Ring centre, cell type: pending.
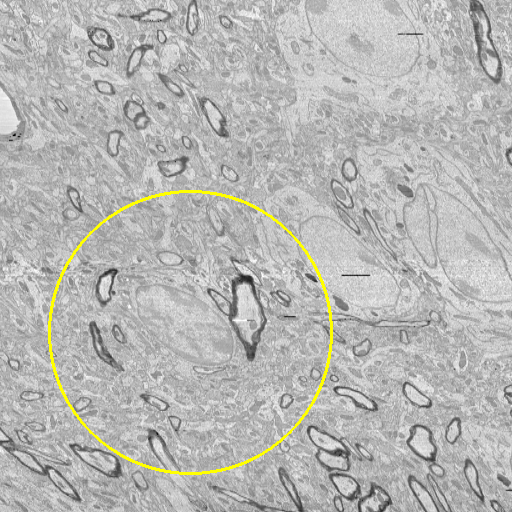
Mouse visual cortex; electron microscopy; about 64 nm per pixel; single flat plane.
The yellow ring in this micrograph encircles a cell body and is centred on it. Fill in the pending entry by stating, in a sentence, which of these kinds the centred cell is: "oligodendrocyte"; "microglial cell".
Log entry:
The centred cell is recorded as an oligodendrocyte.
